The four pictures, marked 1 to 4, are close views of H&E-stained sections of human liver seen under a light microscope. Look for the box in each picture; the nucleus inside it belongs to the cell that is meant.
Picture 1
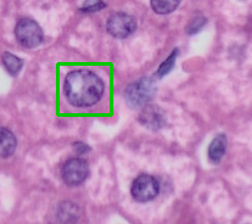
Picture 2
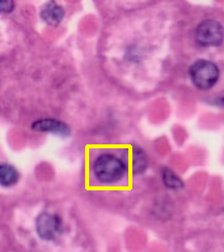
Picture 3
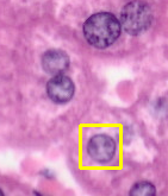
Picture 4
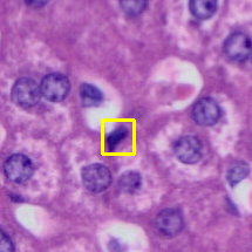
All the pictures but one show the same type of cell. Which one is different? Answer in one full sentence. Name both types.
Picture 4 is the odd one out: it shows a “fibroblast or stellate cell”, while the others show hepatocytes.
